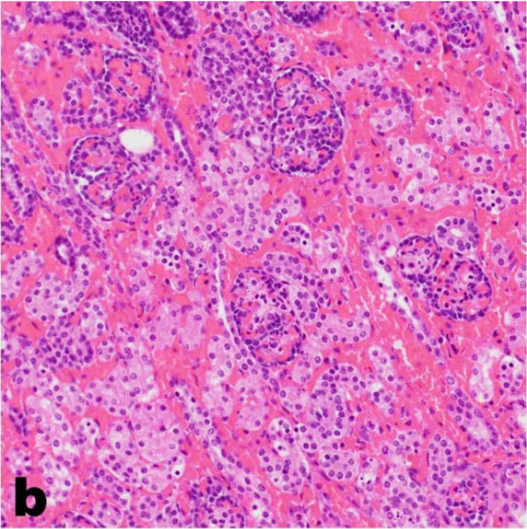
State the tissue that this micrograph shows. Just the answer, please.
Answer: renal cortex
